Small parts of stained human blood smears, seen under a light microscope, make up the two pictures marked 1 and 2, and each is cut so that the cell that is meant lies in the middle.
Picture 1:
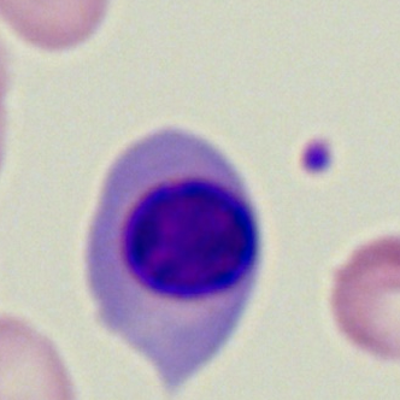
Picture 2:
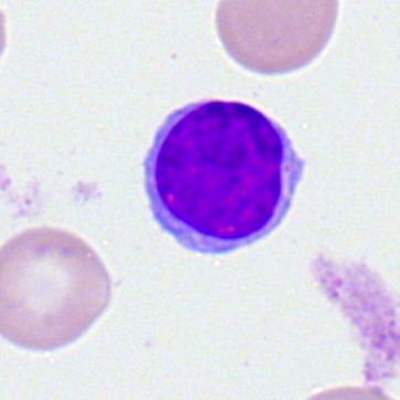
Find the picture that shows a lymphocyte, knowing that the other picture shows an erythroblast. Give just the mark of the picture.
2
